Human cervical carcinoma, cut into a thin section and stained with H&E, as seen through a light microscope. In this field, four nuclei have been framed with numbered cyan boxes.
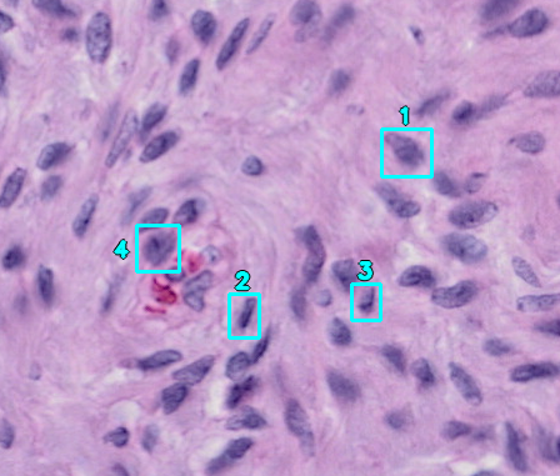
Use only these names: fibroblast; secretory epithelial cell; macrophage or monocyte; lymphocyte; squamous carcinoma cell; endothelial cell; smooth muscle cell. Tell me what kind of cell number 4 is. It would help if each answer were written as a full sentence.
The identity of cell 4 is that of an endothelial cell.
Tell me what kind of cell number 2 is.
The cell assigned the number 2 is a fibroblast.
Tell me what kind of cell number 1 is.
The cell tagged with 1 in this tissue section is a fibroblast.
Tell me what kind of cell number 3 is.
Cell 3, among those numbered, is a fibroblast.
